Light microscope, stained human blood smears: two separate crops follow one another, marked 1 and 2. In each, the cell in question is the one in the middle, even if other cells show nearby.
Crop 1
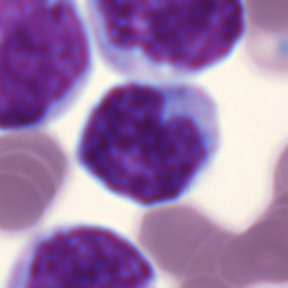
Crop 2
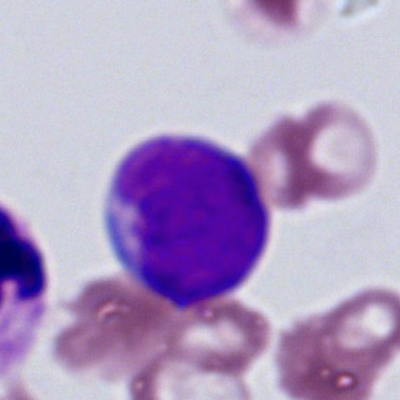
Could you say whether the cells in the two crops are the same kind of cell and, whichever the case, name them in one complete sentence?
No, a monocyte is shown in crop 1 and a blast in crop 2.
